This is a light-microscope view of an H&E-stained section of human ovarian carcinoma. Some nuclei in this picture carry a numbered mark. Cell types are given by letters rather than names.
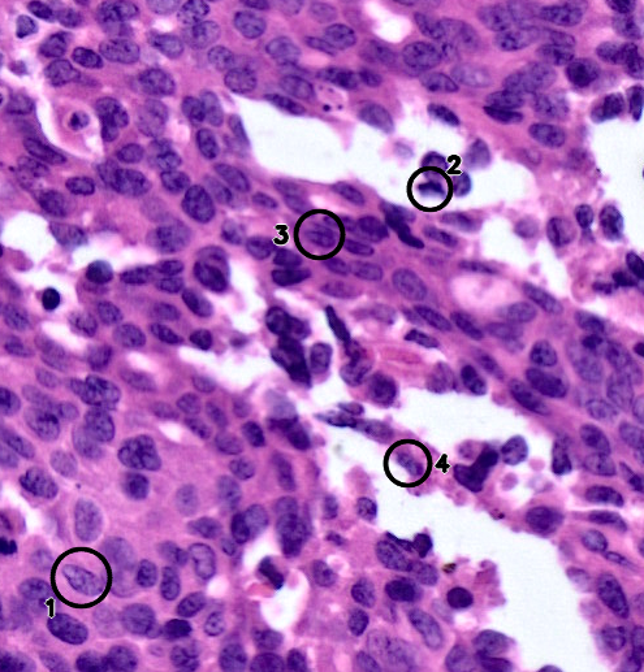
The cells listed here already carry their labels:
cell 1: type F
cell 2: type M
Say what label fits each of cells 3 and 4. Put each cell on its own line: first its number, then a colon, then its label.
3: type M
4: type F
